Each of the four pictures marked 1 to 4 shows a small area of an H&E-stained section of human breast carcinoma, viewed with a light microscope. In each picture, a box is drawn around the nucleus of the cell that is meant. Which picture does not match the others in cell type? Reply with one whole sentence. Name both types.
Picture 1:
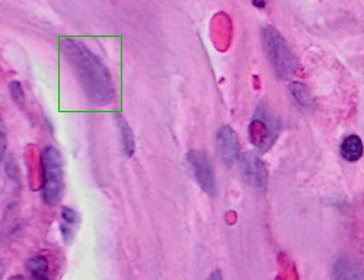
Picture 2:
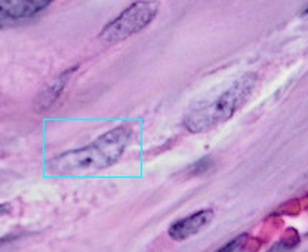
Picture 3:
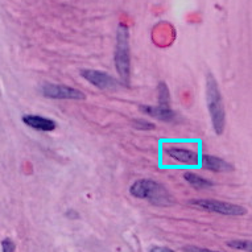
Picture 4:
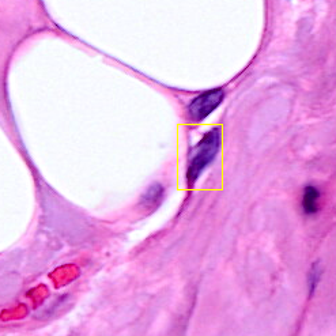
The others show fibroblasts, but picture 3 shows an endothelial cell.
